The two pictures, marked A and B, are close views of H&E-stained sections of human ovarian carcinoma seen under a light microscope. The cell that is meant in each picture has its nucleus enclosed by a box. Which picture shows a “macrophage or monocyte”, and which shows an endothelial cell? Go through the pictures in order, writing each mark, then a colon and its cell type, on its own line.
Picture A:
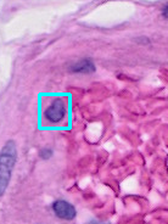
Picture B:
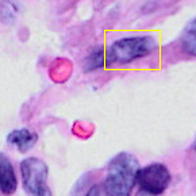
A: endothelial cell
B: macrophage or monocyte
